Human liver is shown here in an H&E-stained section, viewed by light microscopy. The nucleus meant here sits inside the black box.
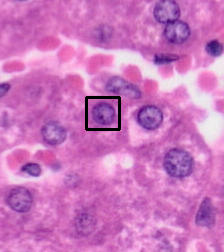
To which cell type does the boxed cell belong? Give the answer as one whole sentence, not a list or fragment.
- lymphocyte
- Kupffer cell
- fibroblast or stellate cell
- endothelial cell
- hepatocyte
As a matter of cell type, the boxed cell is a hepatocyte.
